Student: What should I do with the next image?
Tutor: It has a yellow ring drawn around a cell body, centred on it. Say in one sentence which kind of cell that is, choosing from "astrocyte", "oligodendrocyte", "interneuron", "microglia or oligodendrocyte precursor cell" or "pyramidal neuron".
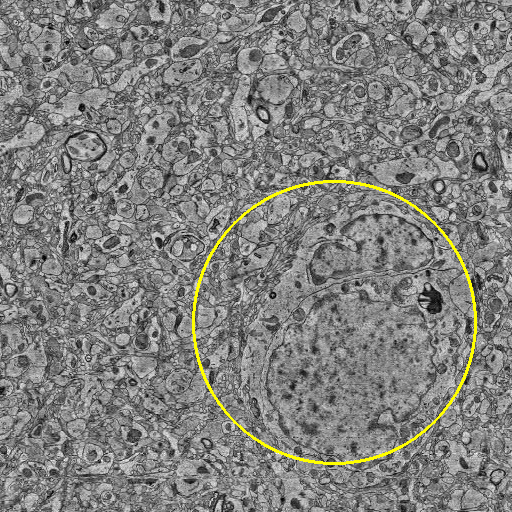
The ring's centre is occupied by an interneuron.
